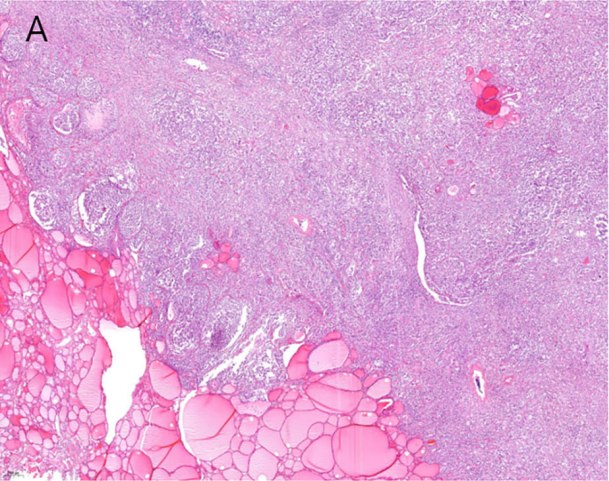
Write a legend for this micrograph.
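At low power, colloid-filled follicles of varying size remain at the lower left, while the rest of the field is a dense purple sheet of small cells with only a few trapped follicles and vessels. This is thyroid gland diffusely infiltrated by lymphoid cells that efface the follicular architecture.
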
